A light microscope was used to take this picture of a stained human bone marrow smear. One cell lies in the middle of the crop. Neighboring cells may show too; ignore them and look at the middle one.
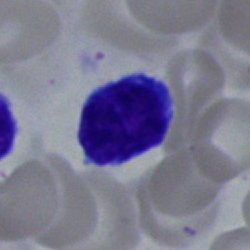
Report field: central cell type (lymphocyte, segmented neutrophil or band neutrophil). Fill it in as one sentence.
In the center of this field lies a lymphocyte.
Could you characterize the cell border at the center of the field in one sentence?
Along the periphery, ragged stretches or projections make the outline irregular.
